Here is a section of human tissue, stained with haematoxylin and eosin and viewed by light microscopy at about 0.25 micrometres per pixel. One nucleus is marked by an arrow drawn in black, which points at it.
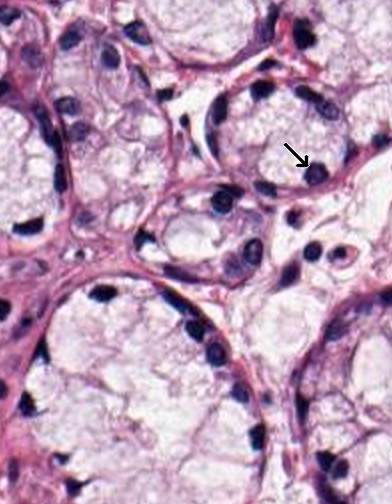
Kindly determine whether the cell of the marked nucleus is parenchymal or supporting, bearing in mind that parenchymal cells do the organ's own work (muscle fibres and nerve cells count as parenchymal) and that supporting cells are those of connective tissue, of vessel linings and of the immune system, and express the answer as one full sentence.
The marked nucleus is found in a parenchymal cell, namely a mucous gland cell.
